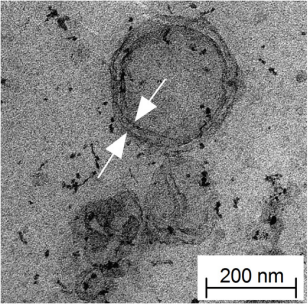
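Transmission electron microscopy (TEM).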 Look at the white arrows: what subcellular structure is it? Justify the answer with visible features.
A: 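A round vesicle a few hundred nanometres across is bounded by a thin membrane. The arrows point to the boundary, which appears as two dark lines with a paler line between. On this evidence: lipid bilayer.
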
